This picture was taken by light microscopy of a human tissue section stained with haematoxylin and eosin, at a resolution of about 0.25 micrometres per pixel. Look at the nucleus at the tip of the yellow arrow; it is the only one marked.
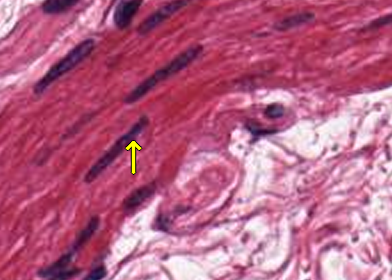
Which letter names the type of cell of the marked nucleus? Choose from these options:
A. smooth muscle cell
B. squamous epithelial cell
A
